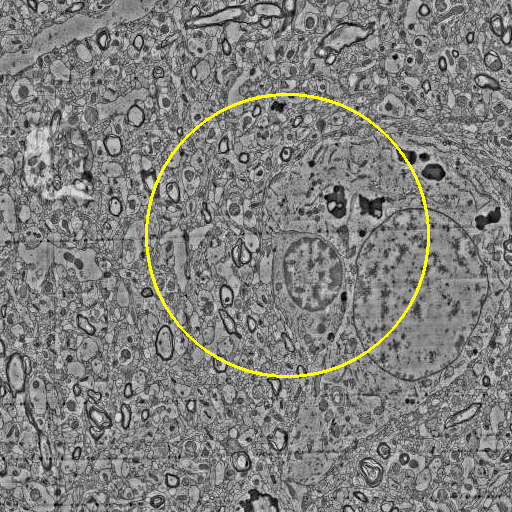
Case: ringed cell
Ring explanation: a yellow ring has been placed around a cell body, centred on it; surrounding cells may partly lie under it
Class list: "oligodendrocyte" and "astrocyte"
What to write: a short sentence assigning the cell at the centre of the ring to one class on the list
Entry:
The cell at the ring's centre is an oligodendrocyte.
